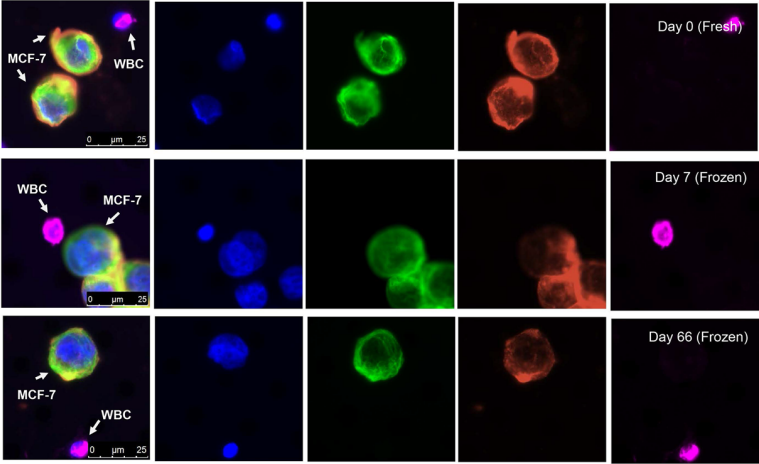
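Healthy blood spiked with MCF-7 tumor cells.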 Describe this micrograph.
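Each row shows one field as a merged image and then as separate colour channels. Large round cells, roughly the length of the scale bar across, each hold a big blue nucleus; their cytoplasm is filled with a fine green filamentous network, and a red-orange rim outlines the cell edge, so the merged image looks yellow-green. Beside them lie much smaller cells with a compact nucleus that glow bright magenta and lack the green network.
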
